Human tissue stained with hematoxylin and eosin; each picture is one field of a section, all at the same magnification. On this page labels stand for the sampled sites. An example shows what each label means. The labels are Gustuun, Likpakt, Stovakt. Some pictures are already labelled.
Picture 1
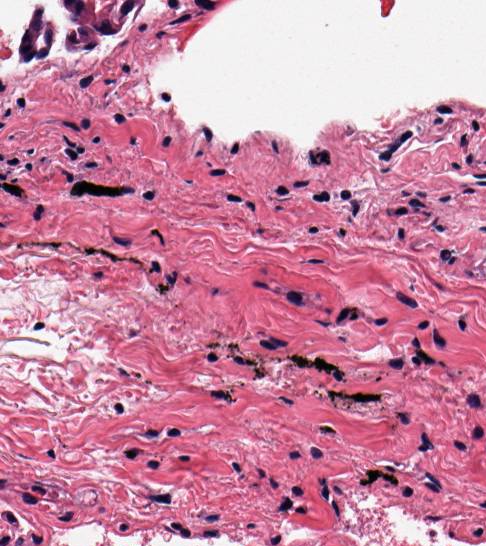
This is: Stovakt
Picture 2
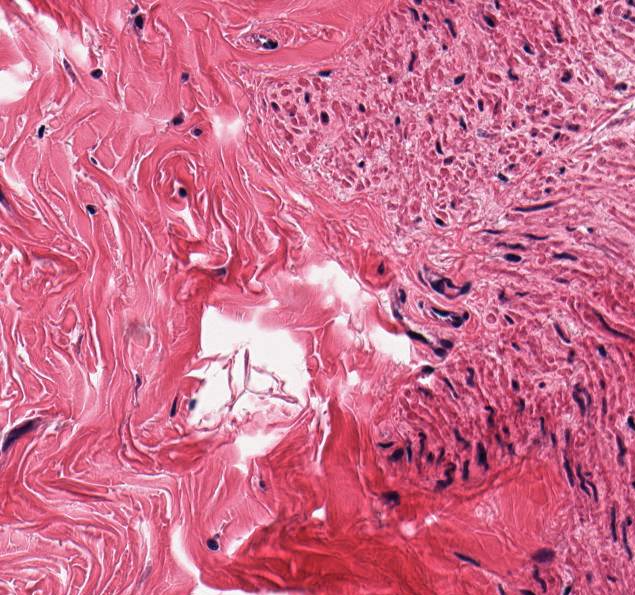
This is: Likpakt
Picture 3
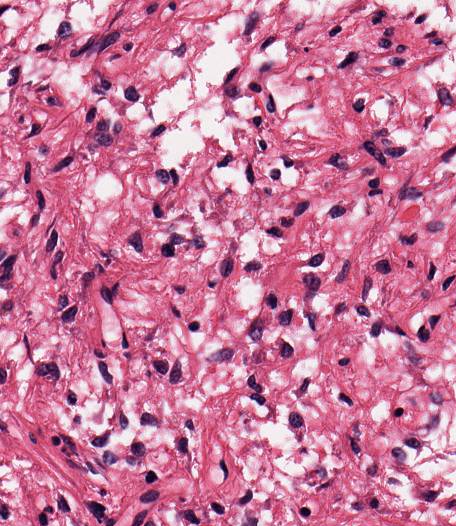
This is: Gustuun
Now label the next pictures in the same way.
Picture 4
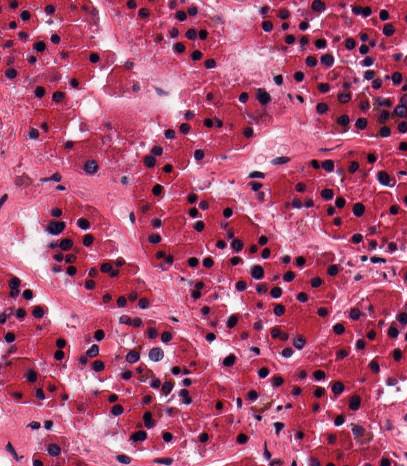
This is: Gustuun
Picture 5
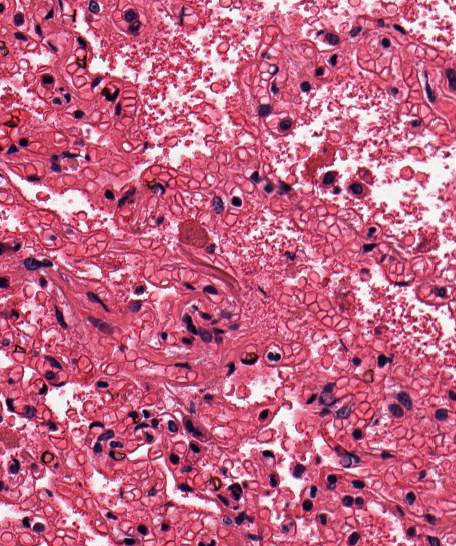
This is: Stovakt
